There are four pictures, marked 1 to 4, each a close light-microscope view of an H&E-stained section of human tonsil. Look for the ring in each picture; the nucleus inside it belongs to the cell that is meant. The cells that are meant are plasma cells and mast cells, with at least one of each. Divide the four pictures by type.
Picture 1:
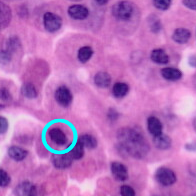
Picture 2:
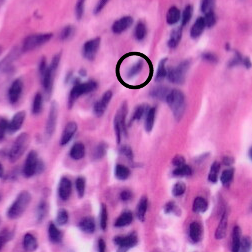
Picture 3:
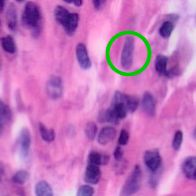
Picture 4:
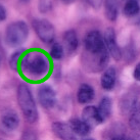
1: plasma cell
2: mast cell
3: mast cell
4: plasma cell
